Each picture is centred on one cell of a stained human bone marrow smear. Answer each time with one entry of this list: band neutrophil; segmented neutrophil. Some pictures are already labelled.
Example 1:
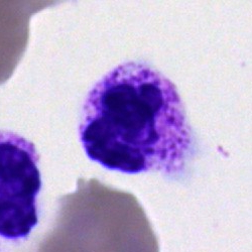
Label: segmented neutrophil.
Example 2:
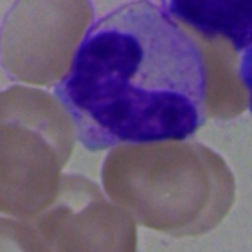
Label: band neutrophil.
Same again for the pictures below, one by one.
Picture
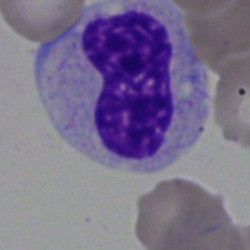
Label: band neutrophil.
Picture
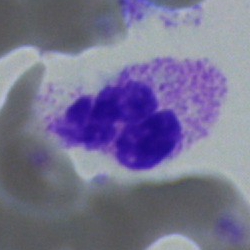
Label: segmented neutrophil.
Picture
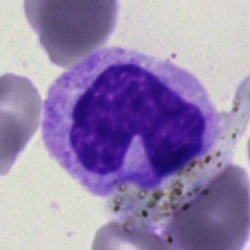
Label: band neutrophil.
